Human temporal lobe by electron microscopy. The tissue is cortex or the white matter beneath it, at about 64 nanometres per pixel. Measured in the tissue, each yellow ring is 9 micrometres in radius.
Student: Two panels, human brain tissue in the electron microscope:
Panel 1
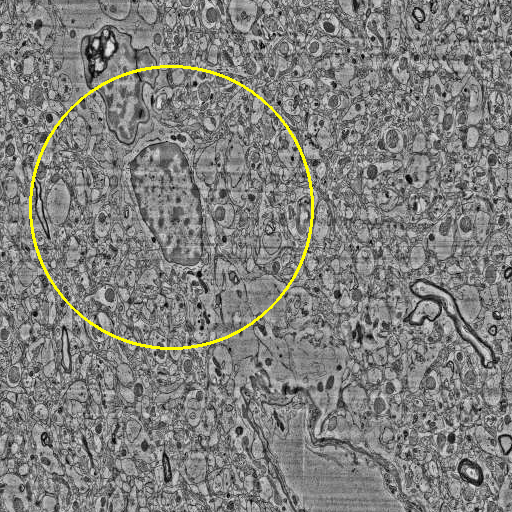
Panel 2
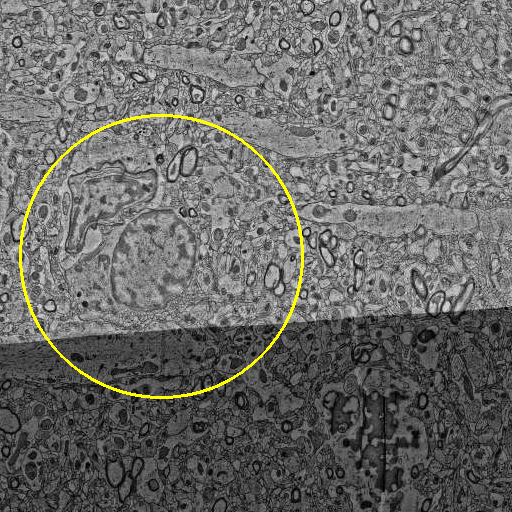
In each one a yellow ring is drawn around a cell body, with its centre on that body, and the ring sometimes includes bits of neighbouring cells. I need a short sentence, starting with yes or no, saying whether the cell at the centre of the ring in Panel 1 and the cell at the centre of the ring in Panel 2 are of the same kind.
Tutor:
No, they are two kinds of cell.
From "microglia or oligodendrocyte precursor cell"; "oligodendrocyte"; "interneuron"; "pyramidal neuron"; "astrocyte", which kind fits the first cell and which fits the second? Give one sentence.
The cell marked in the first picture is a microglial cell or oligodendrocyte precursor cell, and the one marked in the second is an oligodendrocyte.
